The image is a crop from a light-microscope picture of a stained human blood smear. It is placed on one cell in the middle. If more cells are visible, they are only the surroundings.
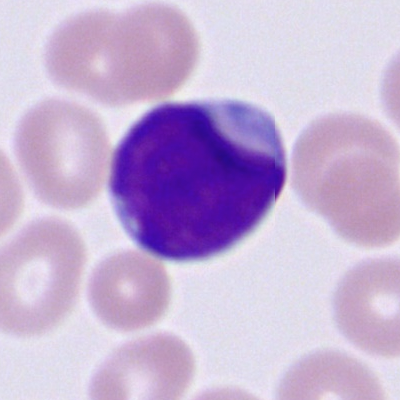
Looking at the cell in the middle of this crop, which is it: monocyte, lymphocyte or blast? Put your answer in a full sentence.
The cell shown in the center of this light-microscope crop is a blast.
